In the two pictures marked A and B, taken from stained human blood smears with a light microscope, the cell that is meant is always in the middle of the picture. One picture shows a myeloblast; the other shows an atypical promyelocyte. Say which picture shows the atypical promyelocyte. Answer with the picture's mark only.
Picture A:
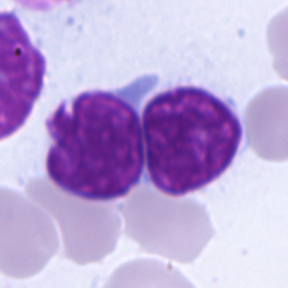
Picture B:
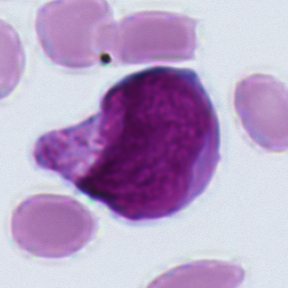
B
